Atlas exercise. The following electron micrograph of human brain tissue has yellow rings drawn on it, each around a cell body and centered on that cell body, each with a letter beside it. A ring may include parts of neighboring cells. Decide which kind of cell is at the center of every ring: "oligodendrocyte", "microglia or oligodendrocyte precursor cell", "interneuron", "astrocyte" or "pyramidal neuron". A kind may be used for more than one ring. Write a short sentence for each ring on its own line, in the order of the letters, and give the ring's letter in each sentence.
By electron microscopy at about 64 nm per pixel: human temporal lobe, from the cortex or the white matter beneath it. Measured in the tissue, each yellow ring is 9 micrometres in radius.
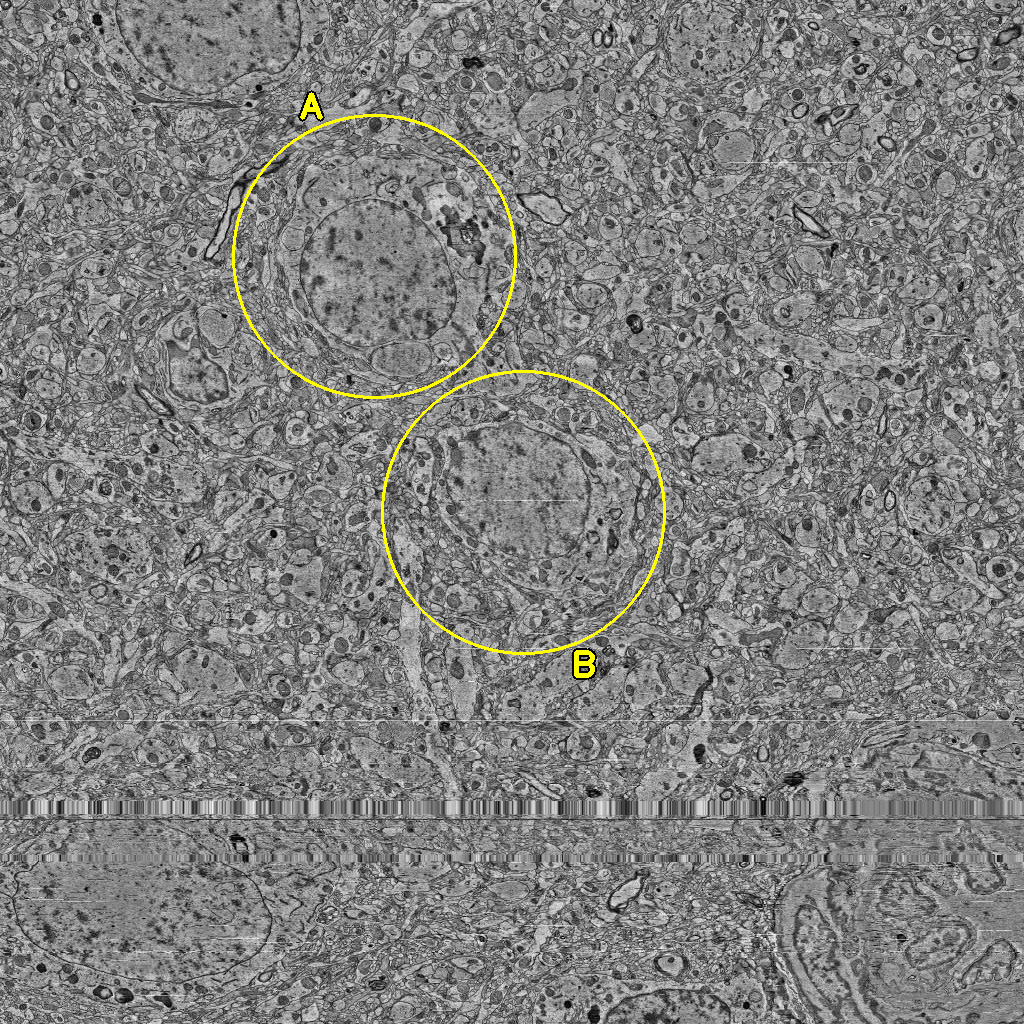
Ring A frames an astrocyte at its center.
Ring B frames an interneuron at its center.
